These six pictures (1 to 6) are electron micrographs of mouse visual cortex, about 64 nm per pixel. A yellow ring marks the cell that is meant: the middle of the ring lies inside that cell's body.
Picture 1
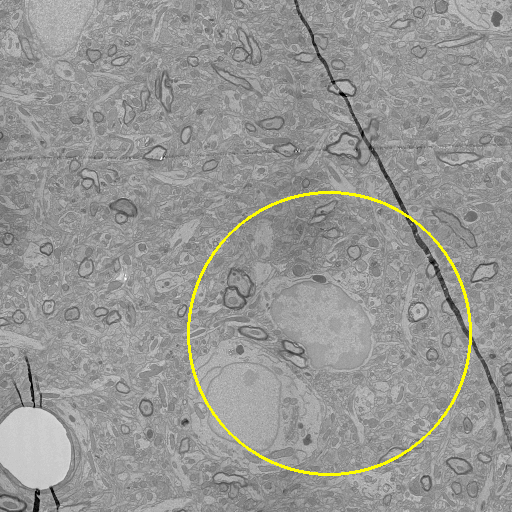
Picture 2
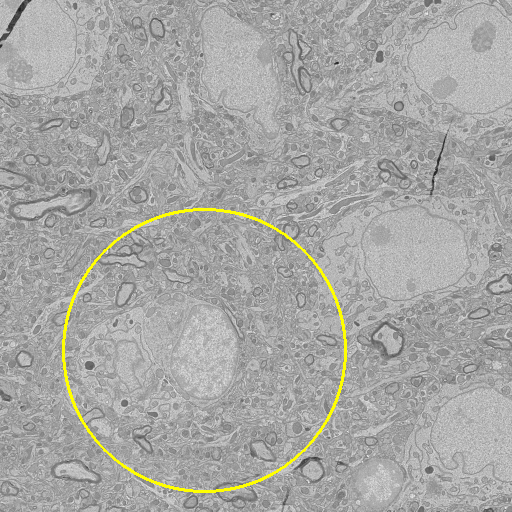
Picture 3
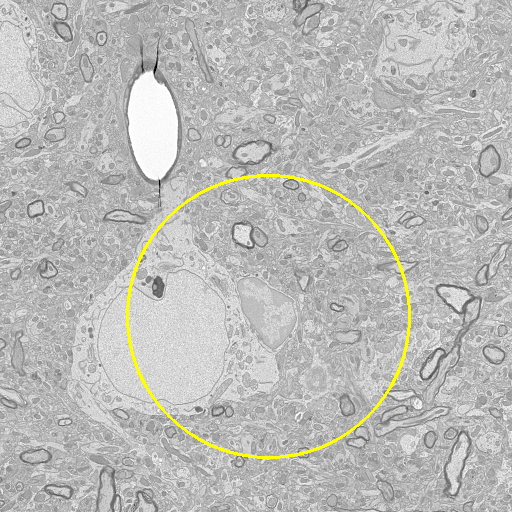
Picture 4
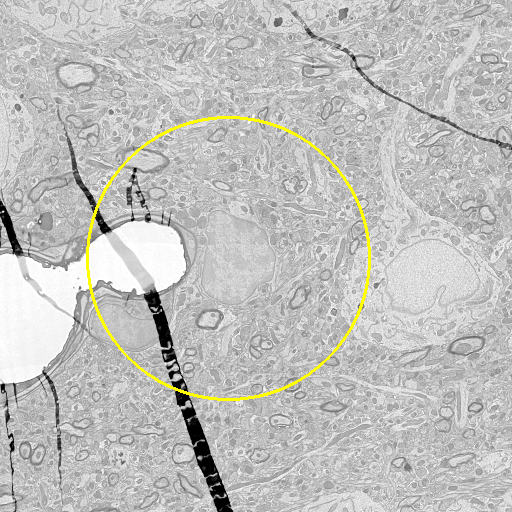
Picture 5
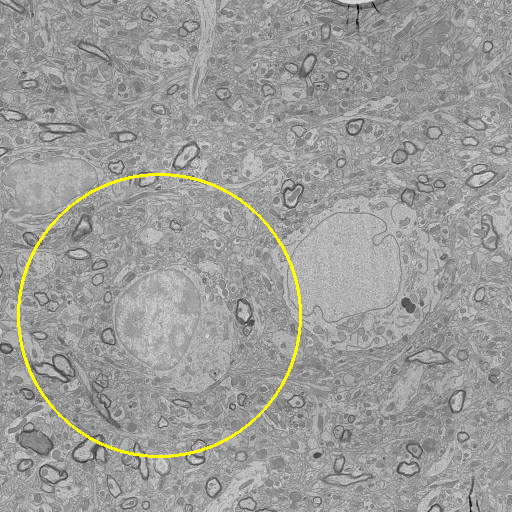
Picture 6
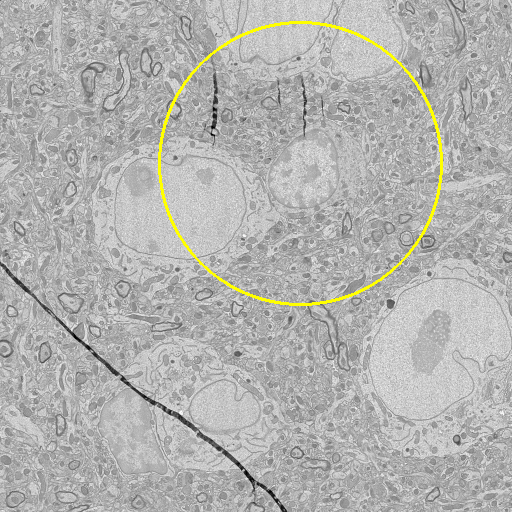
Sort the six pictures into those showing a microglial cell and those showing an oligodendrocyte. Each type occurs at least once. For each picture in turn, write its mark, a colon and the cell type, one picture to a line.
1: microglial cell
2: oligodendrocyte
3: microglial cell
4: microglial cell
5: oligodendrocyte
6: oligodendrocyte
